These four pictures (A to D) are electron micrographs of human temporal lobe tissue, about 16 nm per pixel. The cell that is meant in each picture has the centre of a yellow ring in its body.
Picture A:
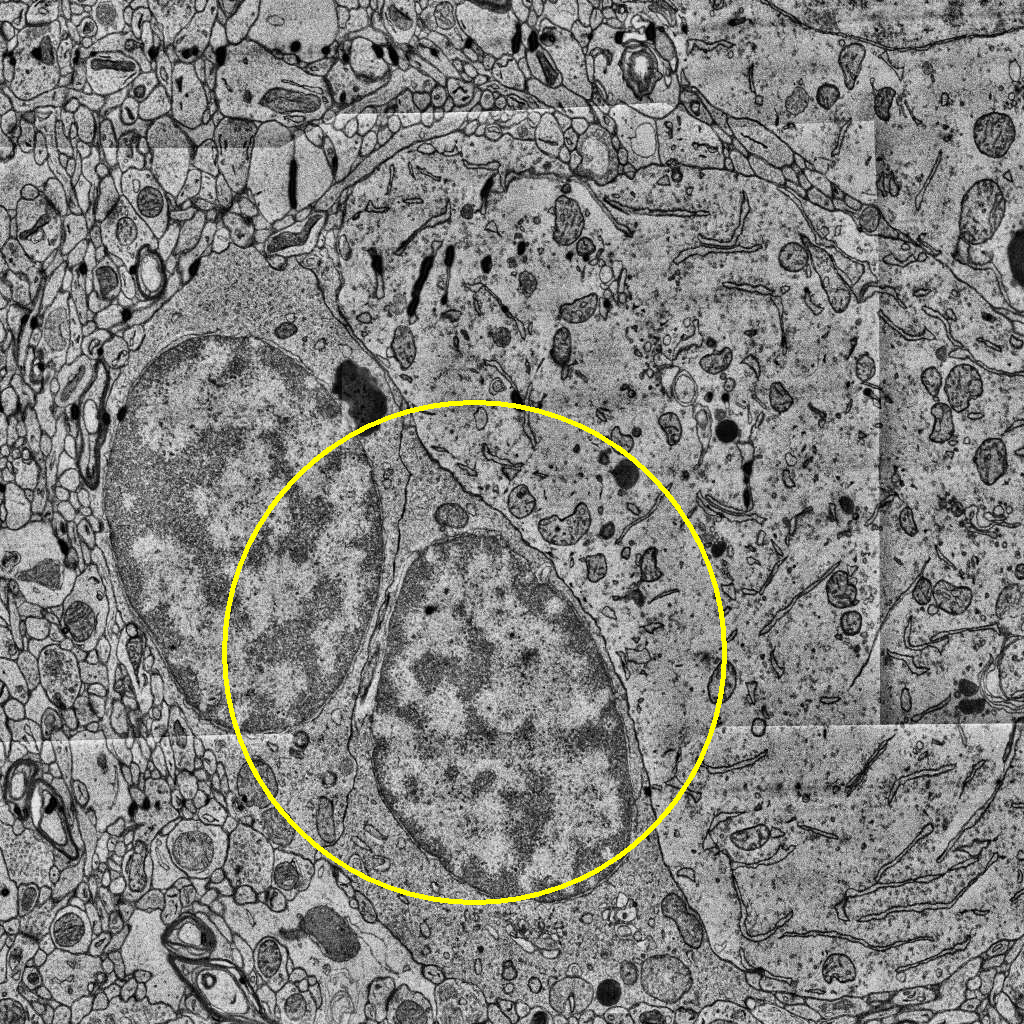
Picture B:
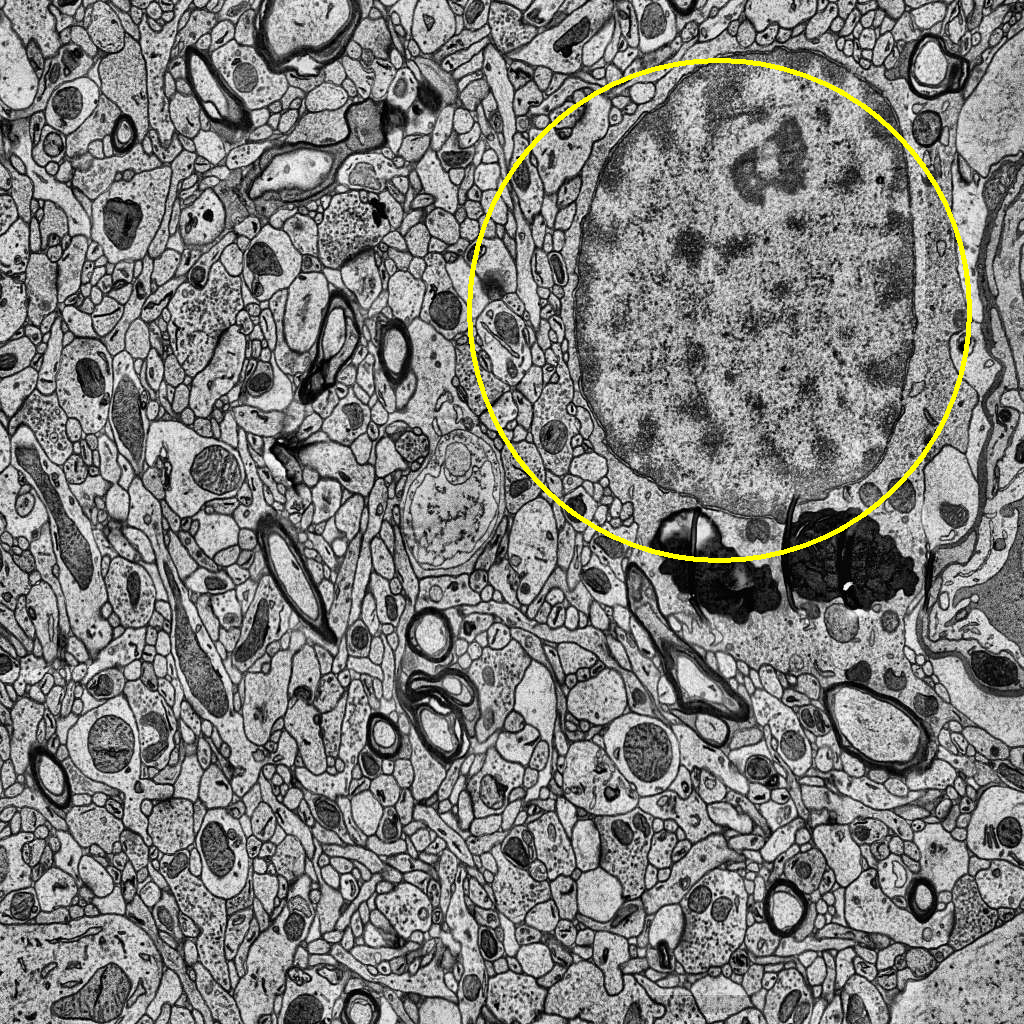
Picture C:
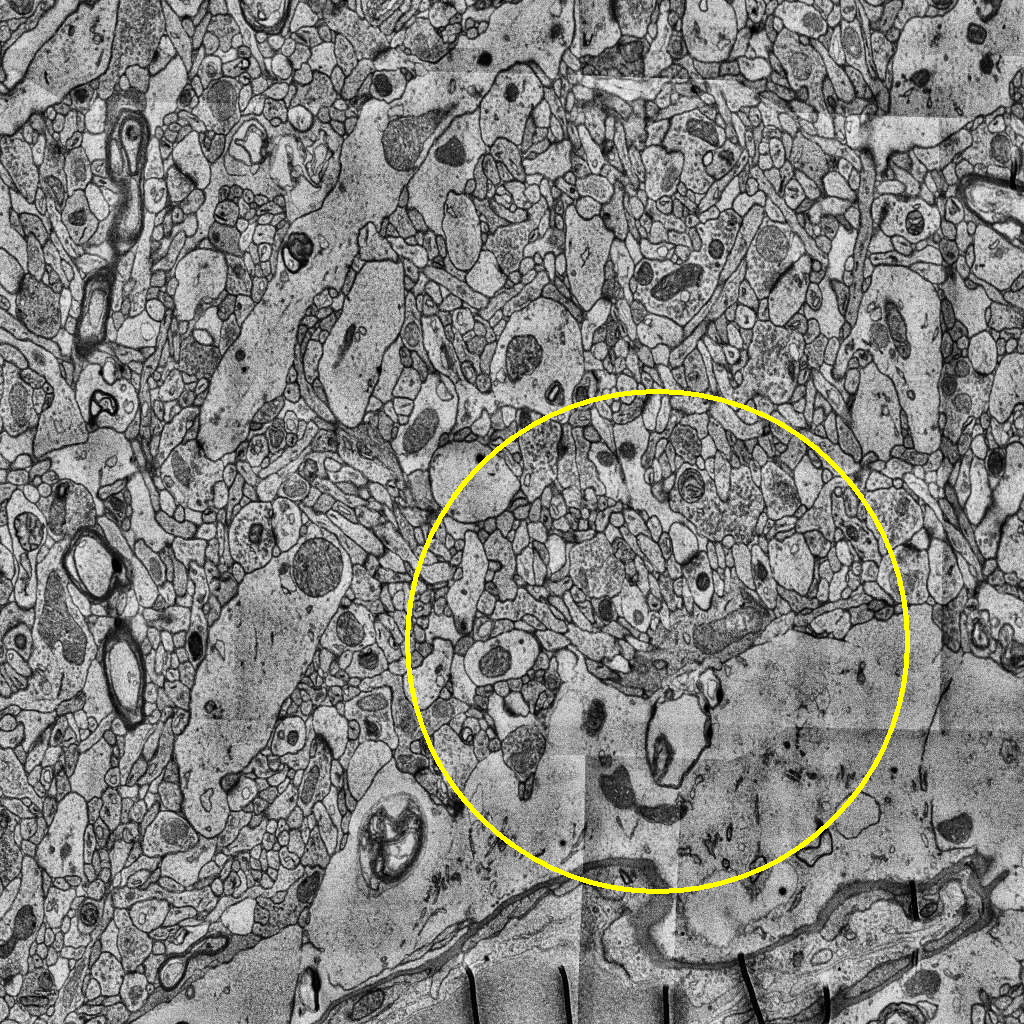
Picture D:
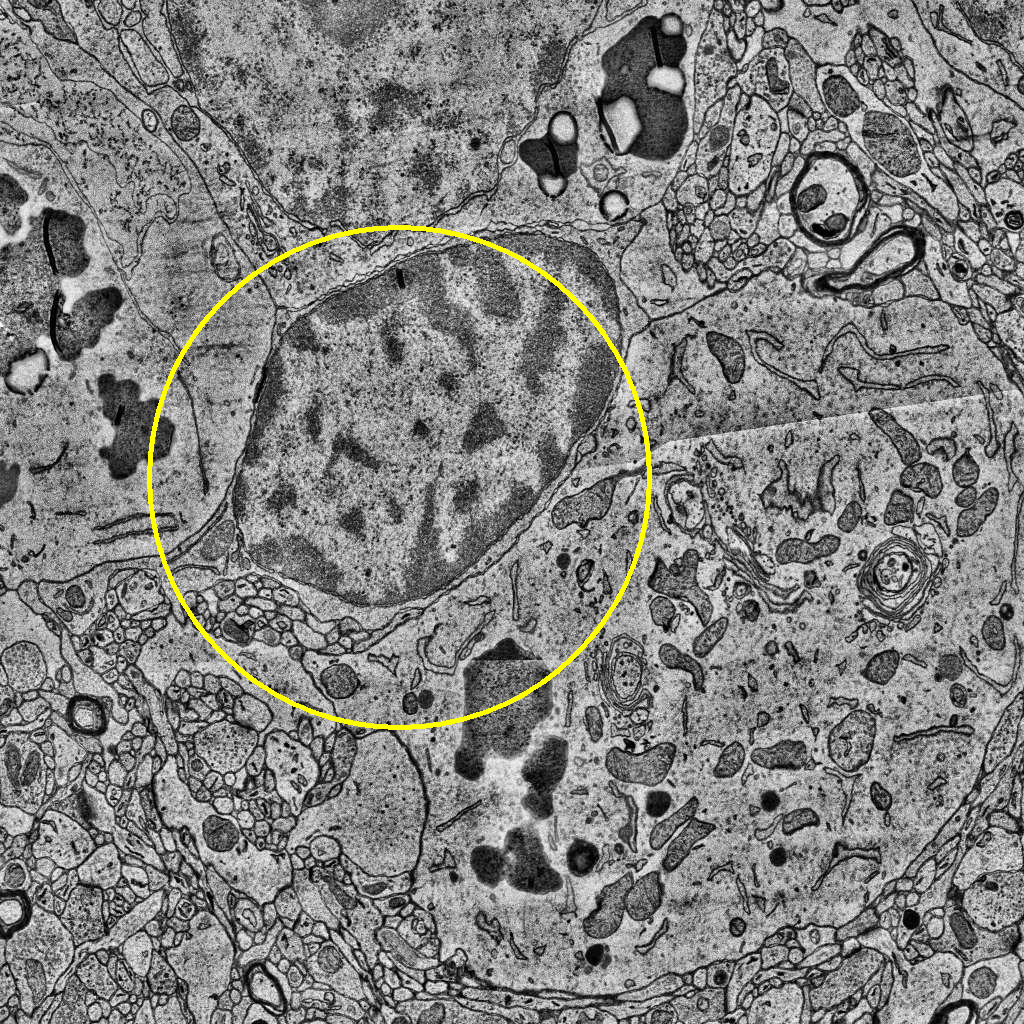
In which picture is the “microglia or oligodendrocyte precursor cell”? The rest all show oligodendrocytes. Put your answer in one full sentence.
The “microglia or oligodendrocyte precursor cell” is the one in picture D.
